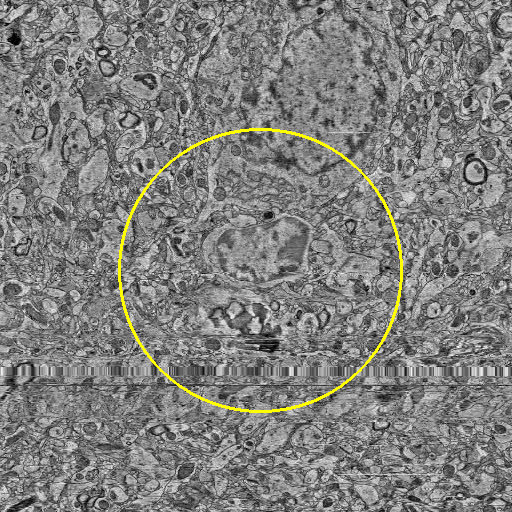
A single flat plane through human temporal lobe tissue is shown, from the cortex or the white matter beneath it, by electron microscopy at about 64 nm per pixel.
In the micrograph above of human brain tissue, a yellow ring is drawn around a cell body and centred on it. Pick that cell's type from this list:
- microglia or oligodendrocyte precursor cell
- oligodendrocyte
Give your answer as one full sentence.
Going by the list, a microglial cell or oligodendrocyte precursor cell is the cell on which the yellow ring is centred.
